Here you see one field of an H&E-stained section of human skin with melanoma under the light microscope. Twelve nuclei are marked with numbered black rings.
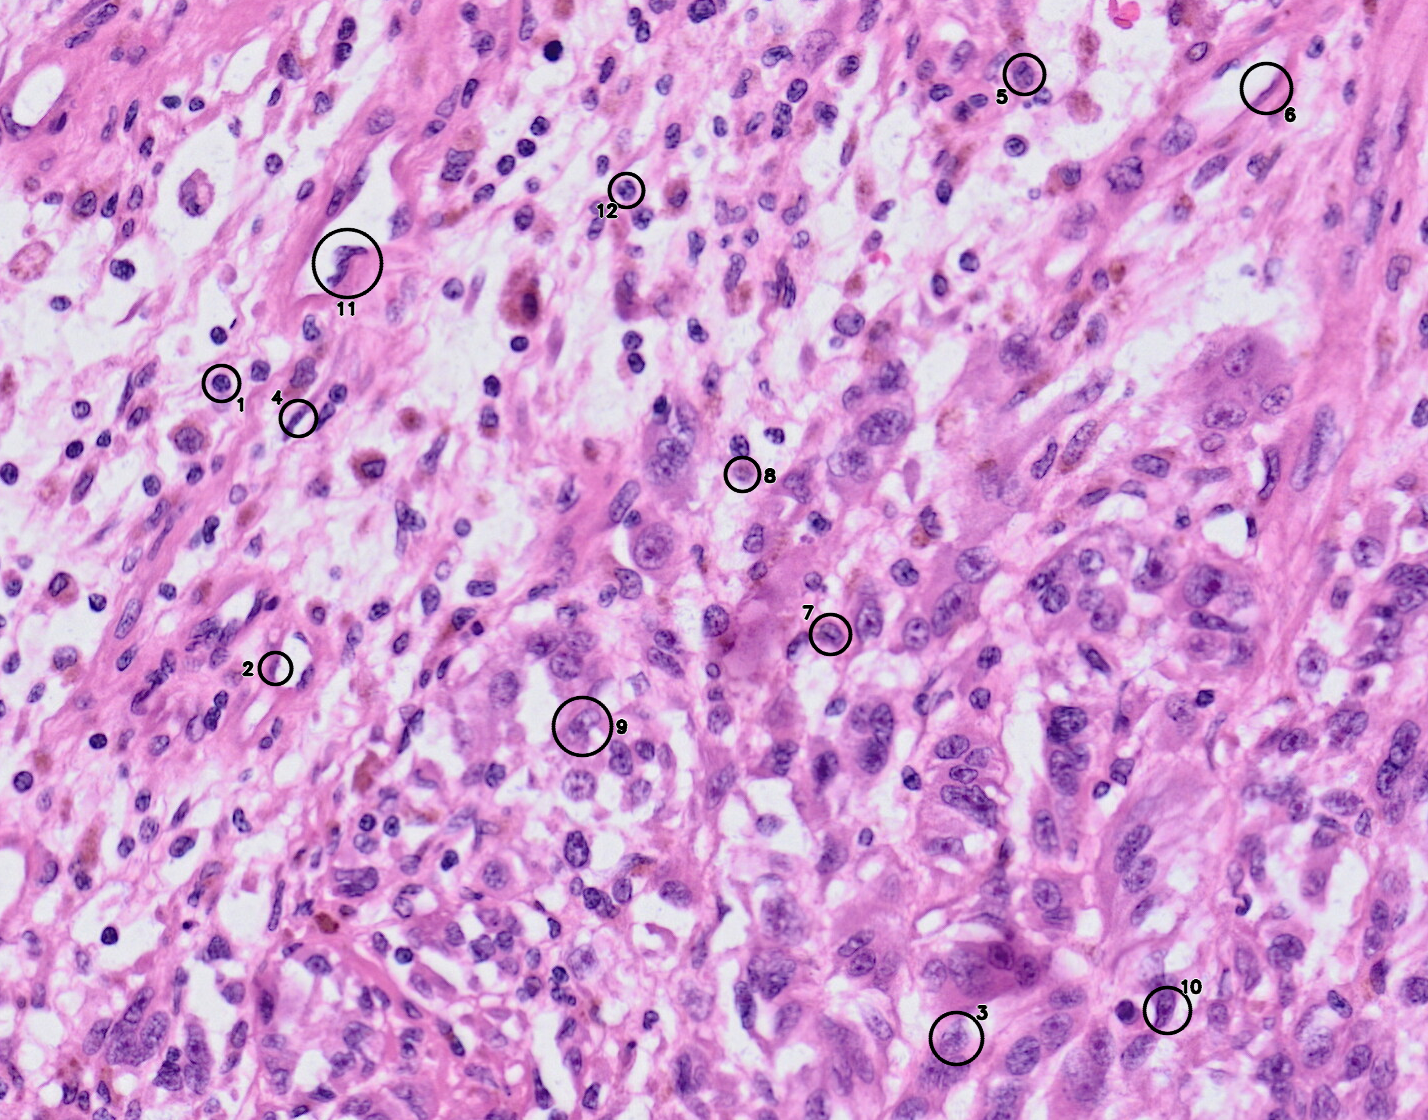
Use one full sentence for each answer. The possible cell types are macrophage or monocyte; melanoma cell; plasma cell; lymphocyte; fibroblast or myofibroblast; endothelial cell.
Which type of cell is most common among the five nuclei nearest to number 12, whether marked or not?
Macrophages or monocytes account for more than half of the five nuclei nearest to number 12.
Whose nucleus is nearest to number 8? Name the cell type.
It is a lymphocyte whose nucleus is nearest to number 8.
